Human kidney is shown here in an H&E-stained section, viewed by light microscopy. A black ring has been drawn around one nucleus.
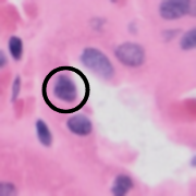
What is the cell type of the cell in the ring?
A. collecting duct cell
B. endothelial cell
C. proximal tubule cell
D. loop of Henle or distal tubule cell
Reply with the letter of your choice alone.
D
